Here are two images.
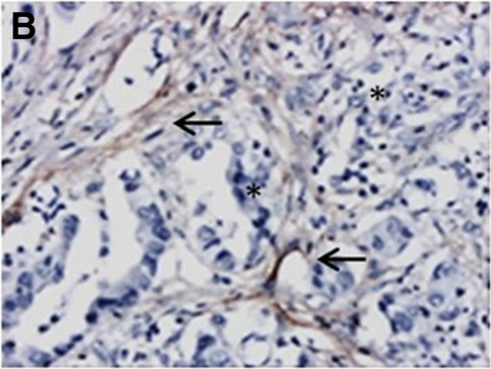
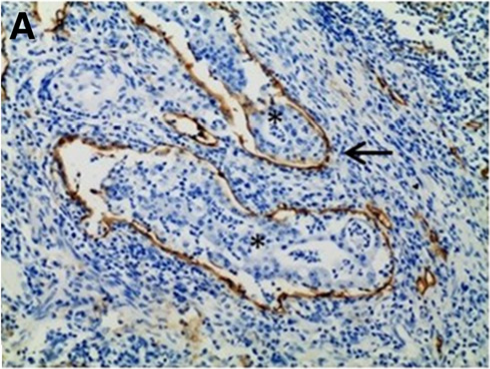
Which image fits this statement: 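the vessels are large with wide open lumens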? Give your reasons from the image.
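The second image. First image: brown-lined vessels are thin, narrow and partly collapsed among tumor cells. Second image: brown-lined vessels form wide, open channels containing cell nests.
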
